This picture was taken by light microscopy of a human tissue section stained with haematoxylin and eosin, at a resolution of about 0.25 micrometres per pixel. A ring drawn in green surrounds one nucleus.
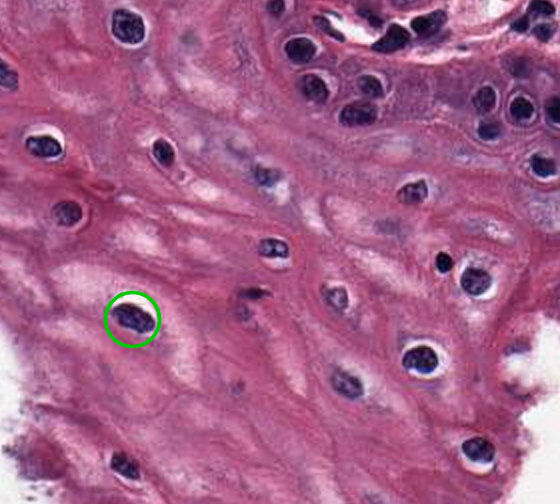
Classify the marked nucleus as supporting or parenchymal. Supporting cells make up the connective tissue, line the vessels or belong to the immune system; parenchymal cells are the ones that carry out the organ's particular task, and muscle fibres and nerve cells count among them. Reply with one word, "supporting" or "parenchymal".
parenchymal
